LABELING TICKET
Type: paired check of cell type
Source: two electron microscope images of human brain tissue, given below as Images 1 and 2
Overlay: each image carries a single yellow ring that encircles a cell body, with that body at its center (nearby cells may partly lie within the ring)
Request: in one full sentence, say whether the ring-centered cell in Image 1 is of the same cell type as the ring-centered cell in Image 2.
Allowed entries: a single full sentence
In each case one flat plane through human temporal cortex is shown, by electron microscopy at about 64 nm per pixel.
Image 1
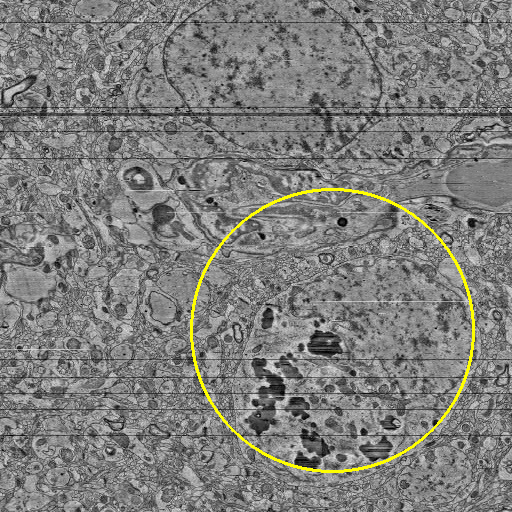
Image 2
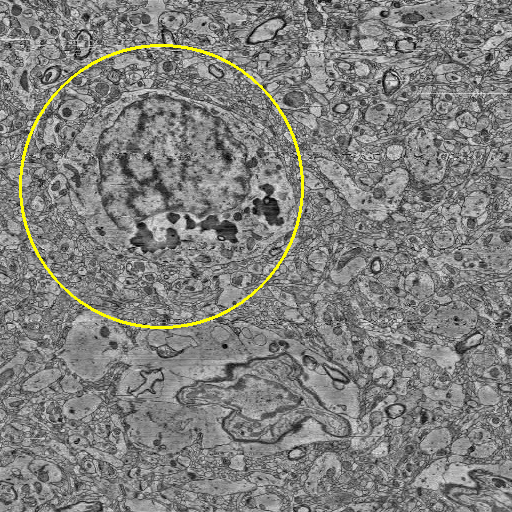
Yes, the cells centered in the rings of Image 1 and Image 2 share one type.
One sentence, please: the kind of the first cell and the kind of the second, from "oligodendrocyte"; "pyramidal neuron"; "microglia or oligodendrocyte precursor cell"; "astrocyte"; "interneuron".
In each of the two pictures, the ringed cell is an interneuron.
